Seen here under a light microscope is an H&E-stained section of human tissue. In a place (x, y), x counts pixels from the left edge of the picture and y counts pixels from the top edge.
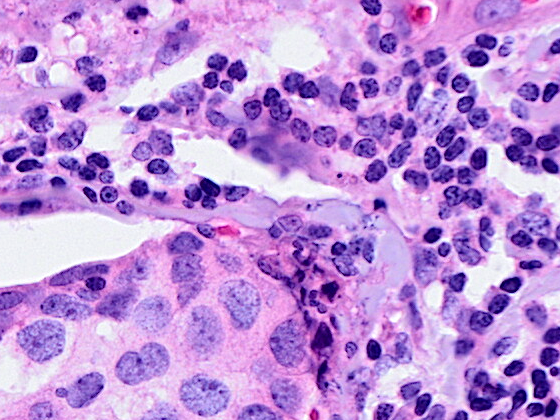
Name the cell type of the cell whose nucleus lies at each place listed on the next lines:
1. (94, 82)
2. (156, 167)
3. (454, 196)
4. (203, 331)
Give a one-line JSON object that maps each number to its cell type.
{"1": "lymphocyte", "2": "lymphocyte", "3": "lymphocyte", "4": "carcinoma cell"}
